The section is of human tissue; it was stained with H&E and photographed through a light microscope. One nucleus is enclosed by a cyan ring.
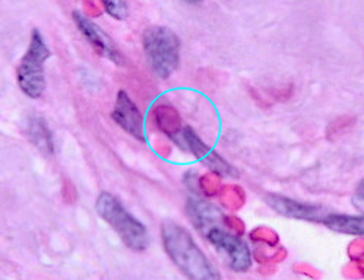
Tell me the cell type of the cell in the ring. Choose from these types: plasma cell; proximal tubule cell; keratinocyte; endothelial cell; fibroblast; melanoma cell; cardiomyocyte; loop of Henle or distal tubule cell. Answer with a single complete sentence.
It is as an endothelial cell that the cell in the ring is recorded.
